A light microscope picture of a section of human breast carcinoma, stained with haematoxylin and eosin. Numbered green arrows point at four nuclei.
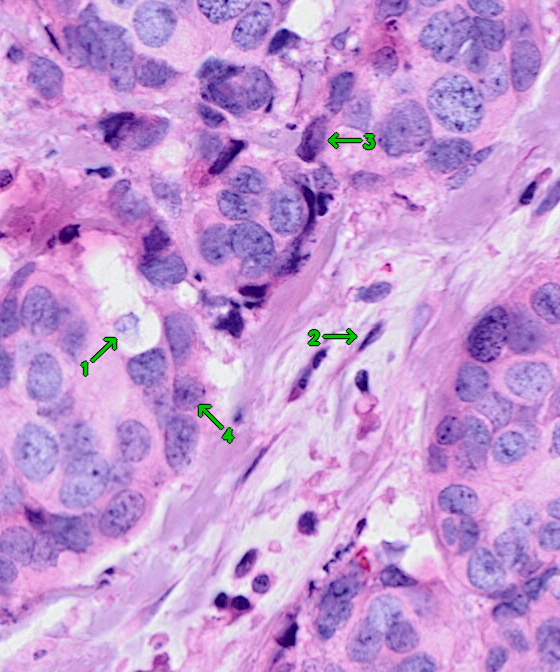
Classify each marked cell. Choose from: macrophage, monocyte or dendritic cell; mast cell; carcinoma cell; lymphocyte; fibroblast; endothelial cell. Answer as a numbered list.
1. carcinoma cell
2. fibroblast
3. carcinoma cell
4. carcinoma cell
